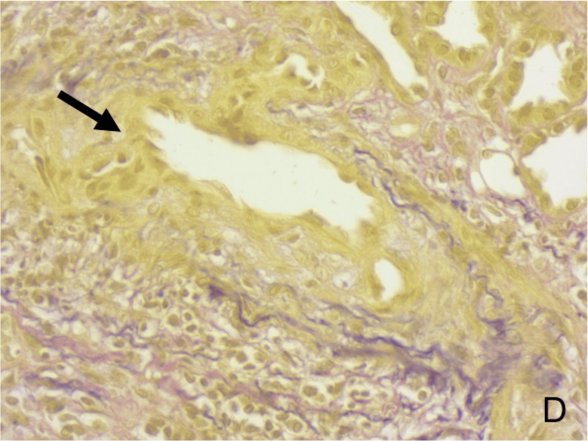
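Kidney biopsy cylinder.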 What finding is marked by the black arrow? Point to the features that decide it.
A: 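The arrow points to the wall of a vessel around an open lumen. No continuous black line runs along the lumen at the arrow.
Conclusion: partial destruction of the lamina elastica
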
